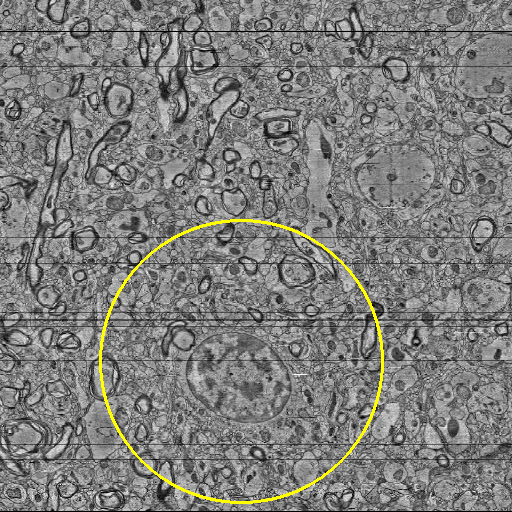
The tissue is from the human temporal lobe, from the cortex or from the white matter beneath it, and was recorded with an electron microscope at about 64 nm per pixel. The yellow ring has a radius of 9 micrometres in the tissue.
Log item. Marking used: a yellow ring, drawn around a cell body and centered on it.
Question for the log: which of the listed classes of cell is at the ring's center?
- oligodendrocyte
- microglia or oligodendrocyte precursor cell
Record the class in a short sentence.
At the center of the ring lies an oligodendrocyte.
